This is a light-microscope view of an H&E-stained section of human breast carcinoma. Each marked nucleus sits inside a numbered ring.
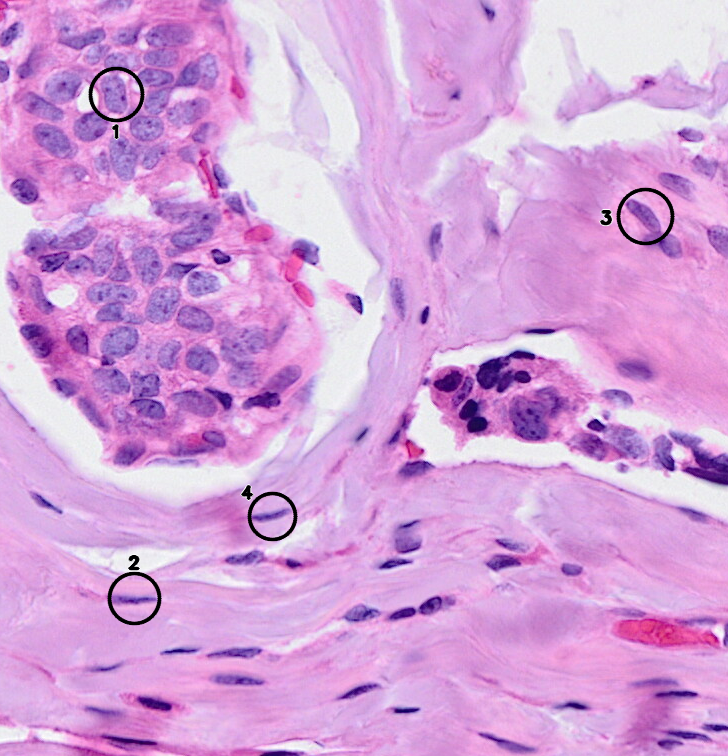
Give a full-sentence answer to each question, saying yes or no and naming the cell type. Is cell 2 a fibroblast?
Yes, correct, the cell with the number 2 is a fibroblast.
